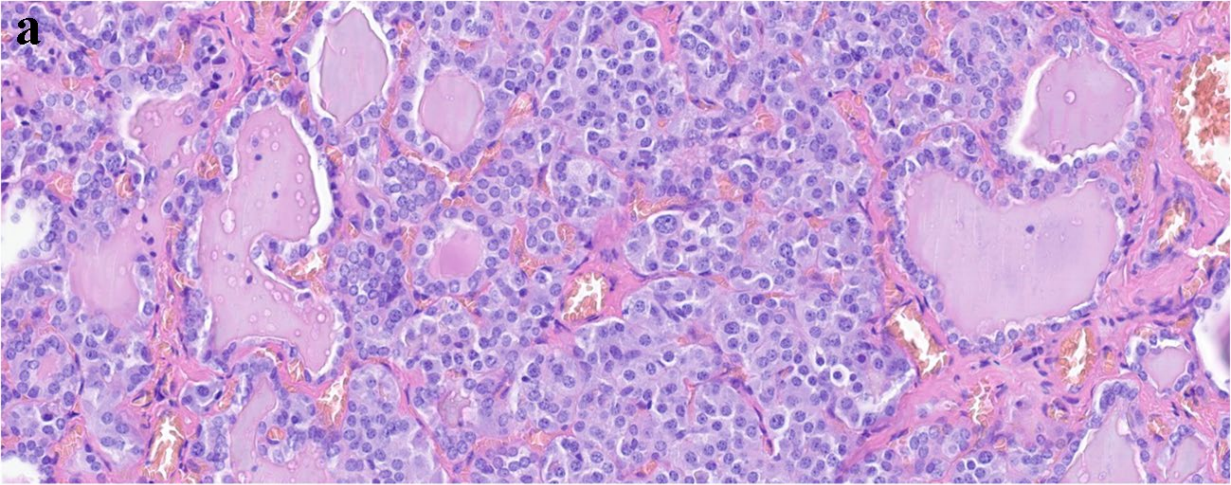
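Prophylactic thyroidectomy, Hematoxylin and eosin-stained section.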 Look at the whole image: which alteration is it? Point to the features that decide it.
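Solid sheets of polygonal cells with pale cytoplasm lie between colloid-filled follicles. These cells crowd the spaces between follicles rather than lining colloid. That points to this answer: proliferation of epithelial cells.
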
